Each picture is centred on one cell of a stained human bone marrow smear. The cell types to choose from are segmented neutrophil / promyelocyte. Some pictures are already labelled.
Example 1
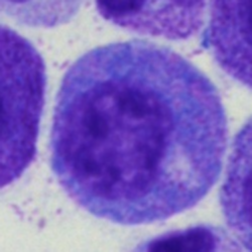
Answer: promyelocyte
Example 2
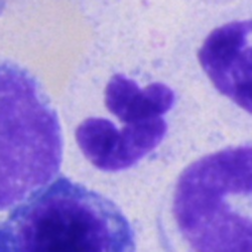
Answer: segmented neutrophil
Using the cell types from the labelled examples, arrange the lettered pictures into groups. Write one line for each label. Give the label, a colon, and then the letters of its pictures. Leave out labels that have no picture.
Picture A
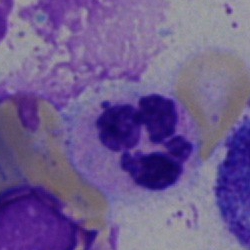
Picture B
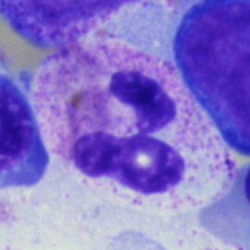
segmented neutrophil: A, B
